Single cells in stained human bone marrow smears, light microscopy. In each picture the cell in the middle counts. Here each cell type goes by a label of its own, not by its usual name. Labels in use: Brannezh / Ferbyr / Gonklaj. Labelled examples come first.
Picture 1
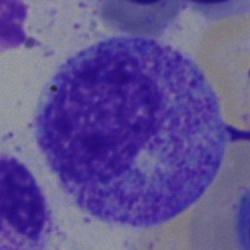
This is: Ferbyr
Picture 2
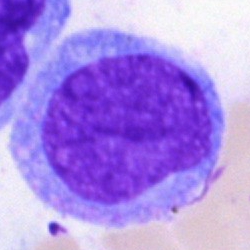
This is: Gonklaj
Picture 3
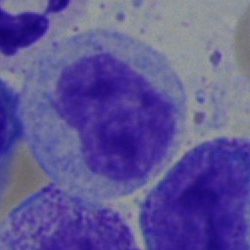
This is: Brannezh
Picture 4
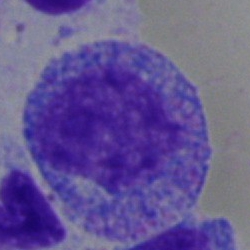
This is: Ferbyr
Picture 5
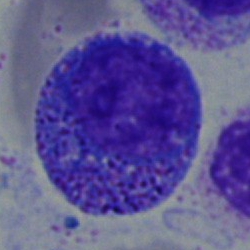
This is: Ferbyr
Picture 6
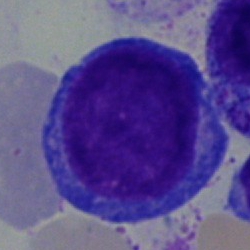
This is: Gonklaj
